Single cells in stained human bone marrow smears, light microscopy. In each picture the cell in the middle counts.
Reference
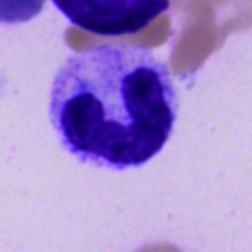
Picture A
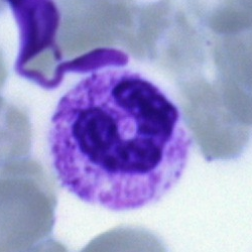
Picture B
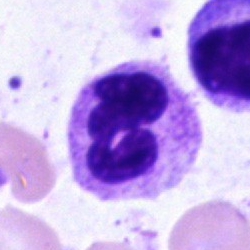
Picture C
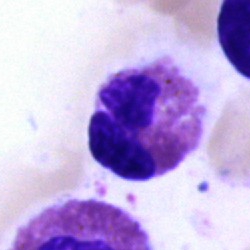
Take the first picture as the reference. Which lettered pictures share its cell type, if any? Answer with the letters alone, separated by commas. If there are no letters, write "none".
A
